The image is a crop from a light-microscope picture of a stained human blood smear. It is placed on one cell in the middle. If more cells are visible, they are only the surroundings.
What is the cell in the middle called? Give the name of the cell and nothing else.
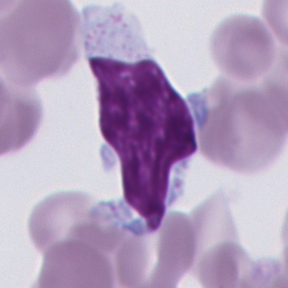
large granular lymphocyte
